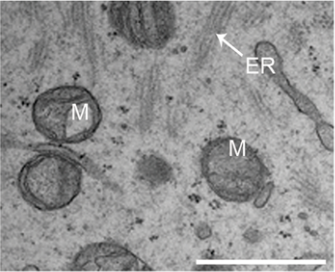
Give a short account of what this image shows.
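The mitochondria are round to oval, bounded by a dark double membrane, and have a moderately dense matrix. Thin, roughly parallel membrane tubules of endoplasmic reticulum run through the upper part of the field. These tubules lie apart from the mitochondria, separated from them by finely granular cytoplasm. Small dark granules are scattered through the cytoplasm.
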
